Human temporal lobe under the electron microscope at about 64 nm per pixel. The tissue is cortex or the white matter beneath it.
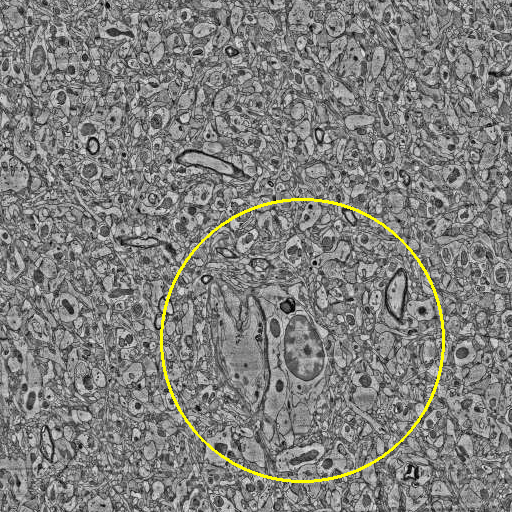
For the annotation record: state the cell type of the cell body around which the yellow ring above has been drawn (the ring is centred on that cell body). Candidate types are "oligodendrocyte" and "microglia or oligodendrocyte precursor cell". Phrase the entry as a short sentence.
The ringed cell is a microglial cell or oligodendrocyte precursor cell.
